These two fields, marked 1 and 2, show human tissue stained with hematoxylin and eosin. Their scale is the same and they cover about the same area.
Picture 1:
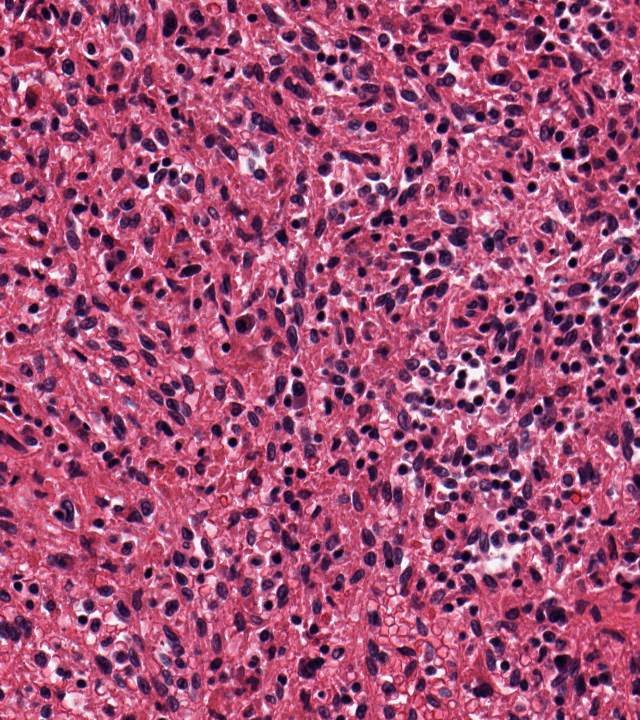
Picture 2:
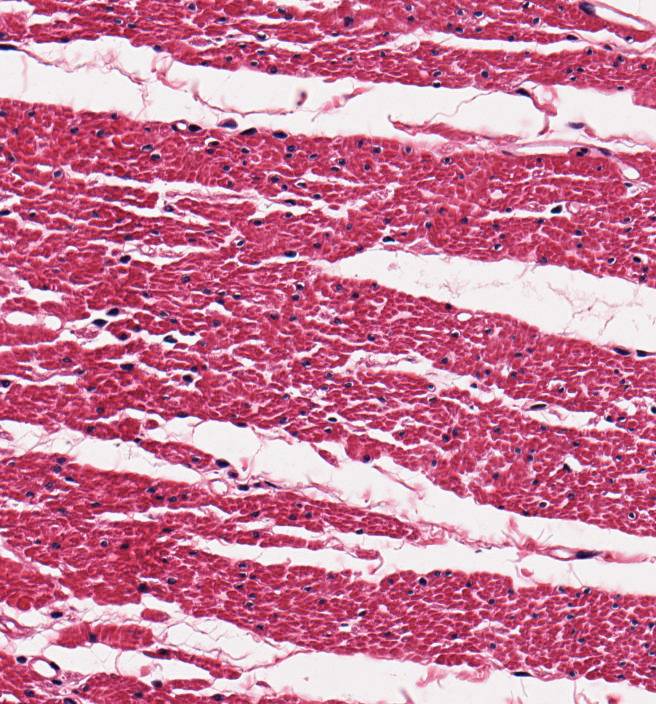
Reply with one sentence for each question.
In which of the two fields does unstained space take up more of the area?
Unstained space takes up more of picture 2 than of picture 1.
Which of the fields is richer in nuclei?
More nuclei lie in picture 1 than in picture 2.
